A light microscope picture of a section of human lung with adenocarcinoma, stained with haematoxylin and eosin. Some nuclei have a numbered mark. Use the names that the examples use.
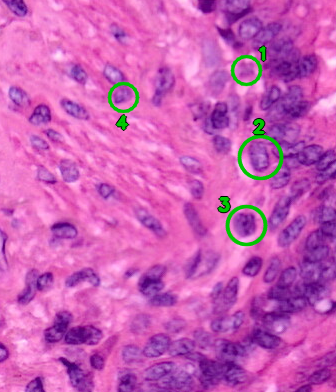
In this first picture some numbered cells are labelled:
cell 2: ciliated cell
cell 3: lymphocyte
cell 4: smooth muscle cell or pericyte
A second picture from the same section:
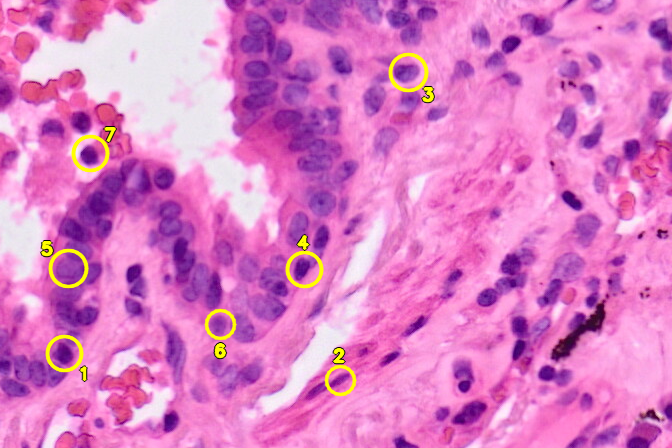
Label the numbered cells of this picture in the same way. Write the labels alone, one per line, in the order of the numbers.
ciliated cell
smooth muscle cell or pericyte
lymphocyte
lymphocyte
ciliated cell
ciliated cell
lymphocyte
